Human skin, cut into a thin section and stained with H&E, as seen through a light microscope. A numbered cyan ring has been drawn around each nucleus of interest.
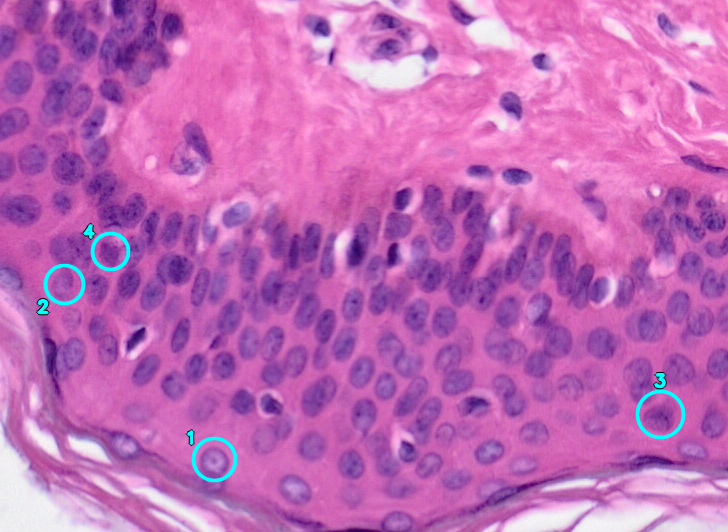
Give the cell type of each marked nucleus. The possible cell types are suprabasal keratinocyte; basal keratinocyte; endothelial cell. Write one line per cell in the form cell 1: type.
cell 1: suprabasal keratinocyte
cell 2: suprabasal keratinocyte
cell 3: suprabasal keratinocyte
cell 4: basal keratinocyte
